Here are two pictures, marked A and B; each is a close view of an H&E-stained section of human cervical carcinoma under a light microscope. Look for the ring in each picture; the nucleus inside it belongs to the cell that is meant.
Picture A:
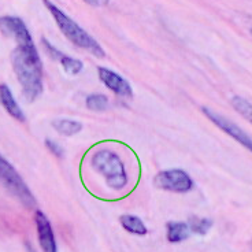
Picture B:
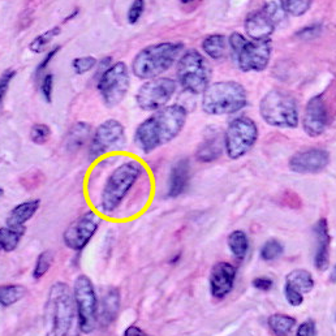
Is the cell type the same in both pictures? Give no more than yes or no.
yes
